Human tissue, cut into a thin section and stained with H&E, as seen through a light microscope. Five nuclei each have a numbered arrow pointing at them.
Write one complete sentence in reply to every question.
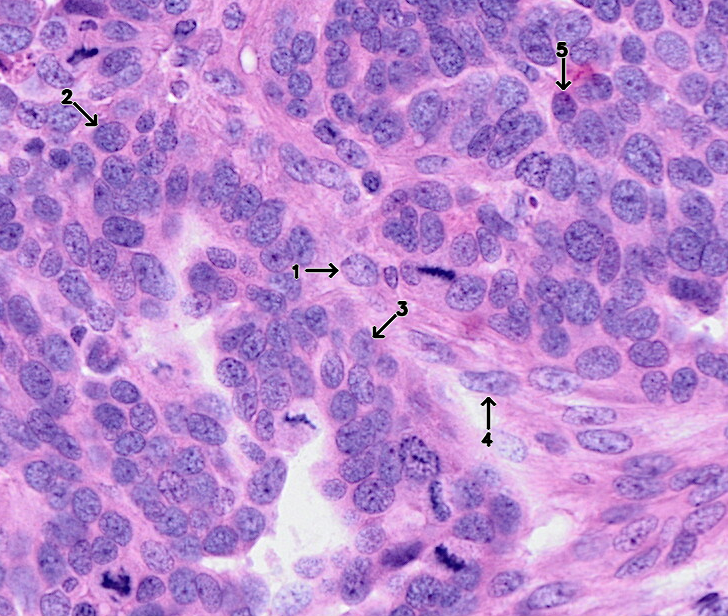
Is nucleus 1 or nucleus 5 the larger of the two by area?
Nucleus 1 is the larger one, covering about 1.5 times the area of nucleus 5.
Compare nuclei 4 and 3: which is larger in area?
Nucleus 4 covers more area, about 1.5 times as much as nucleus 3.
